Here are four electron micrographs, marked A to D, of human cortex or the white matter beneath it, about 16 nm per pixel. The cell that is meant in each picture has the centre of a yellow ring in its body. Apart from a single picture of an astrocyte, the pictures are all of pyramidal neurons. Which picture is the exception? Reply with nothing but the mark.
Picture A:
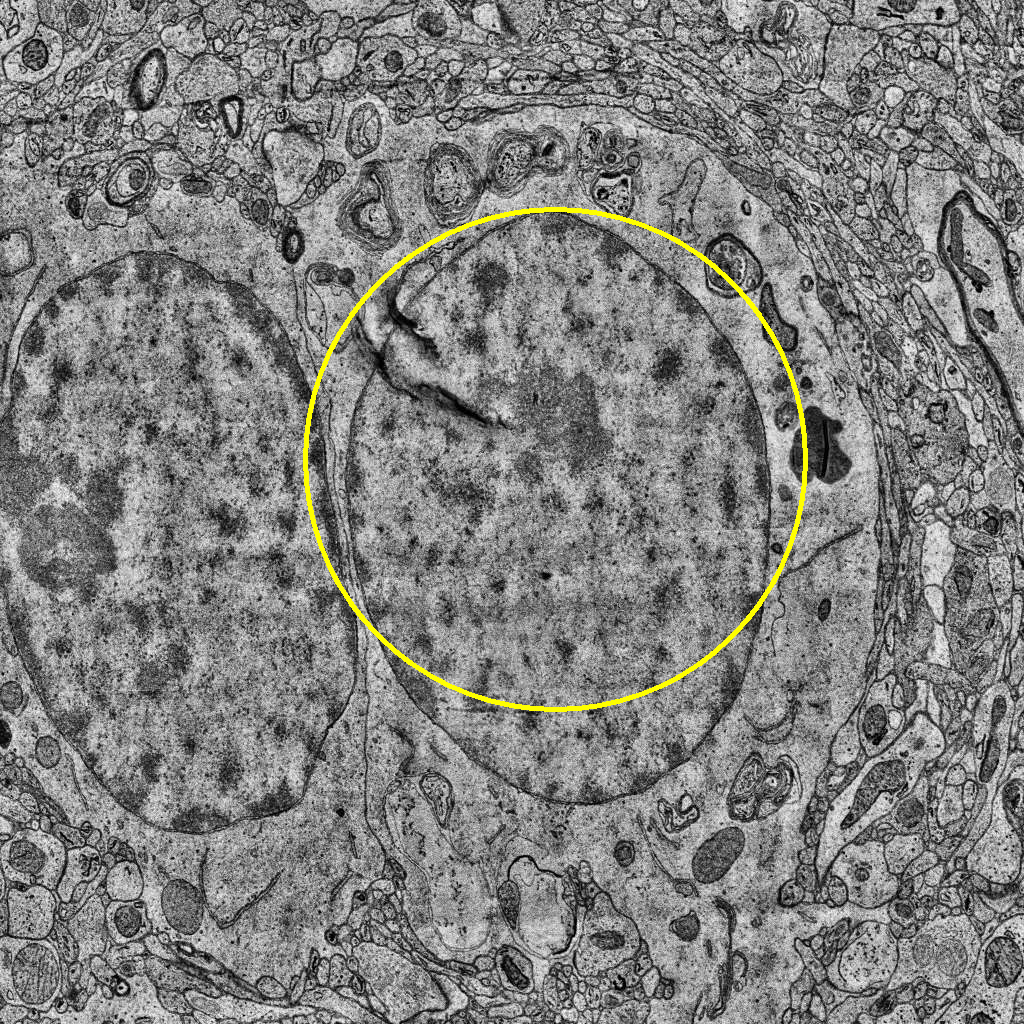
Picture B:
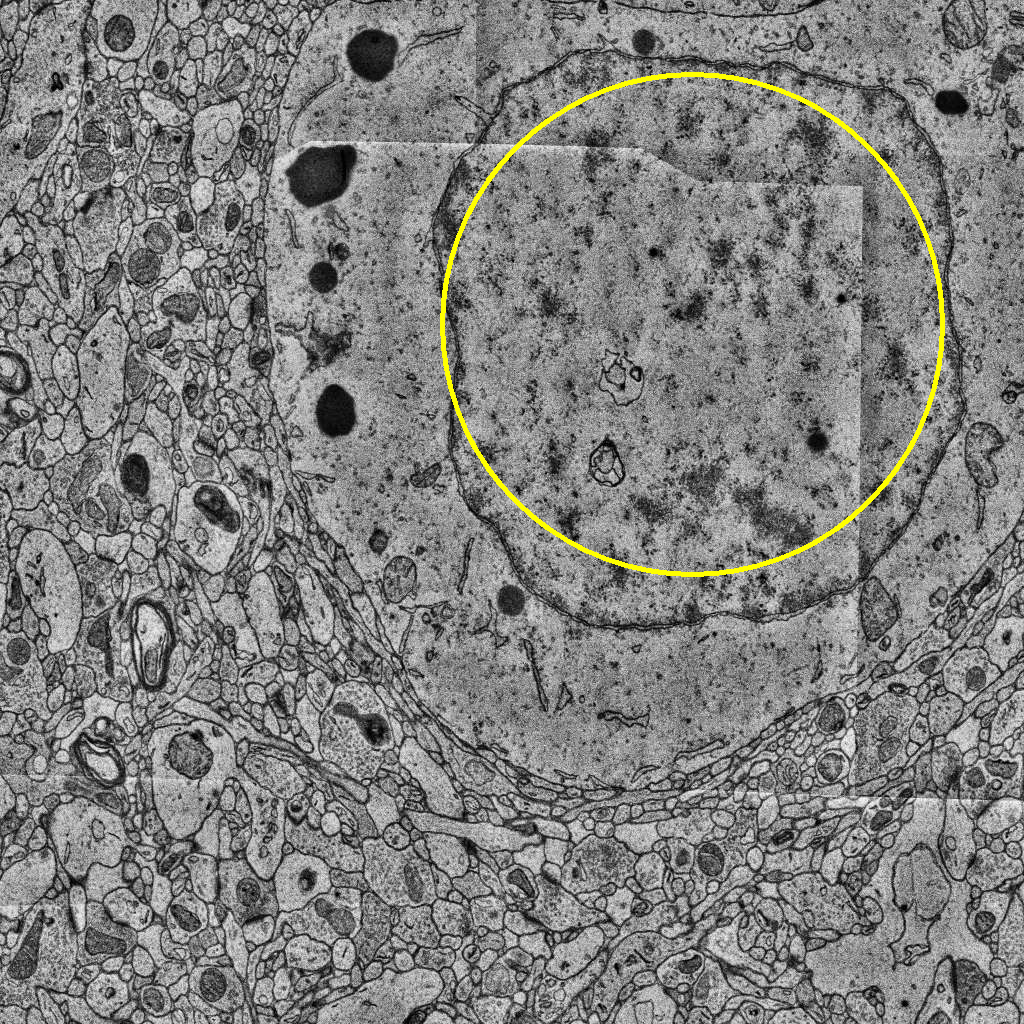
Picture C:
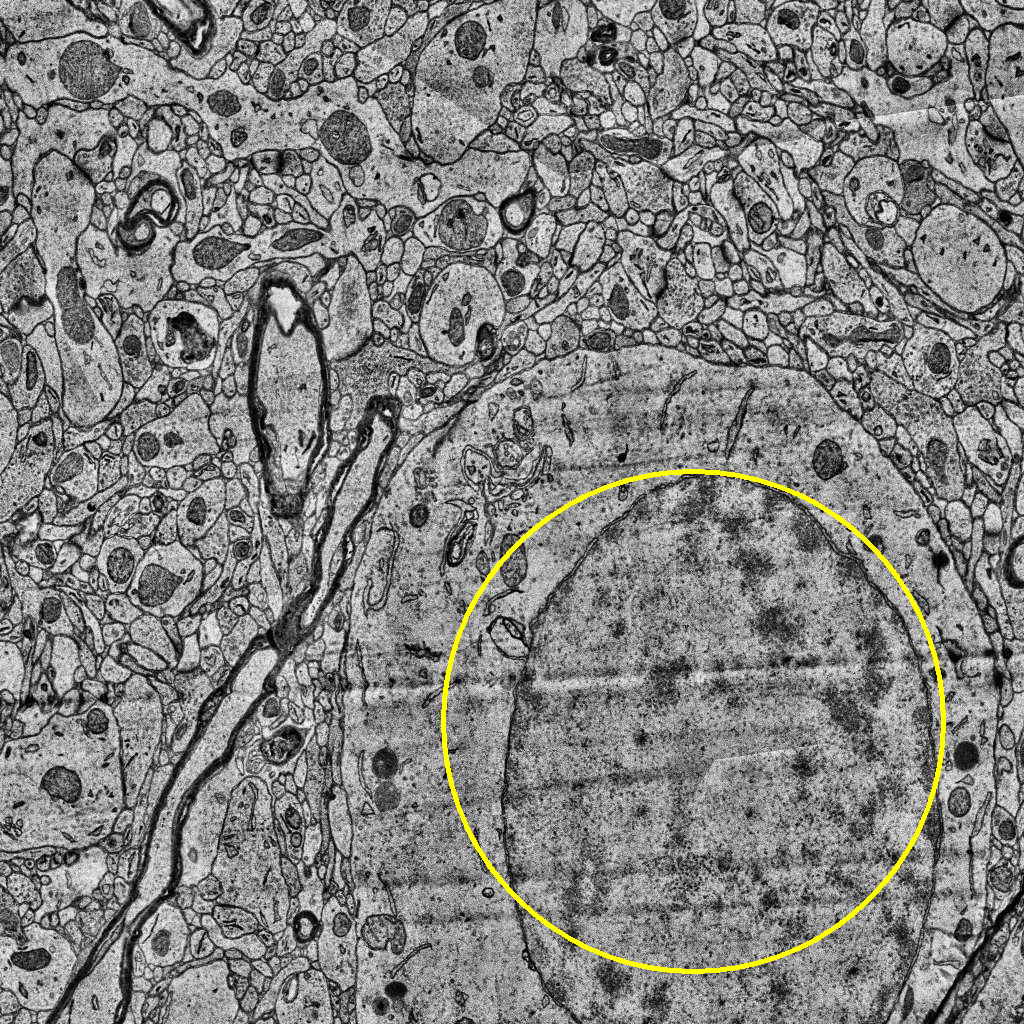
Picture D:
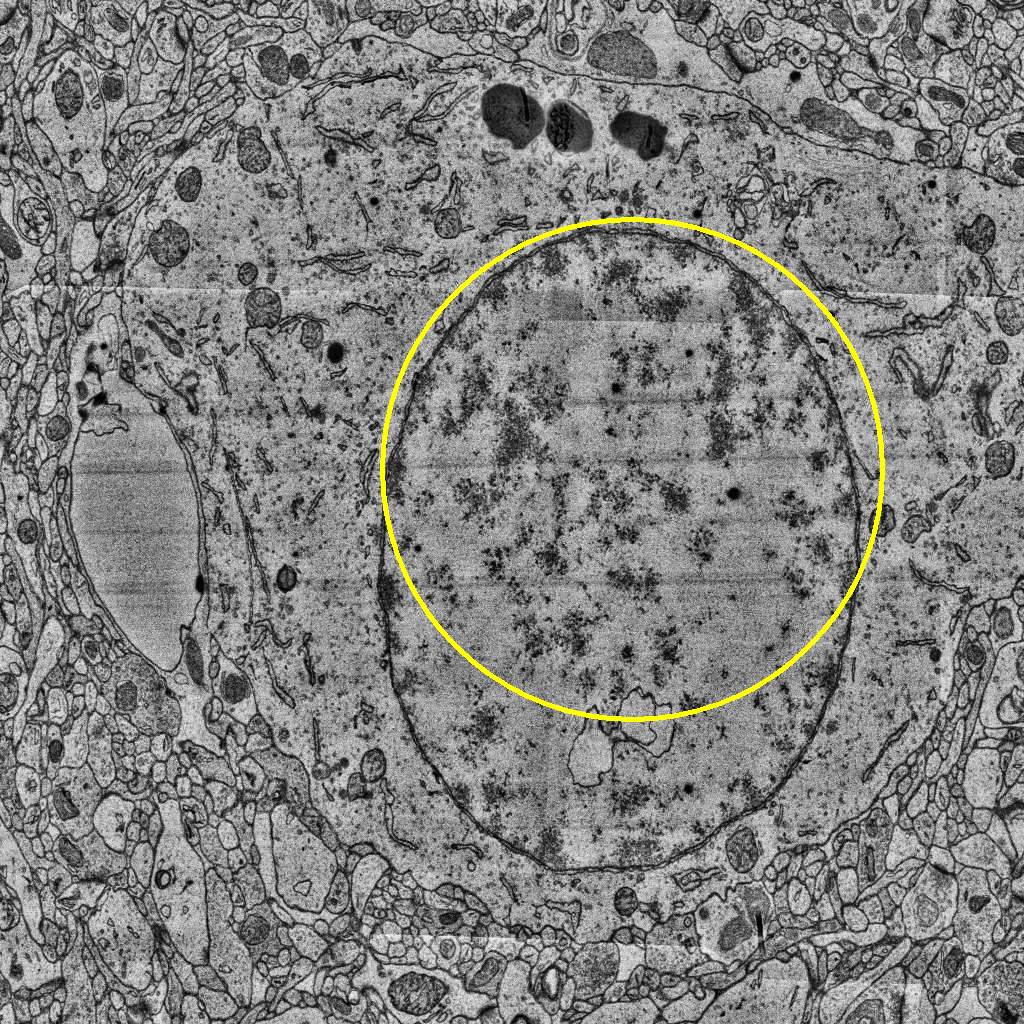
A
